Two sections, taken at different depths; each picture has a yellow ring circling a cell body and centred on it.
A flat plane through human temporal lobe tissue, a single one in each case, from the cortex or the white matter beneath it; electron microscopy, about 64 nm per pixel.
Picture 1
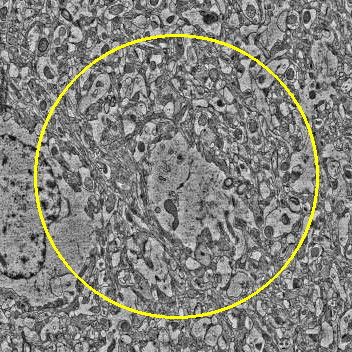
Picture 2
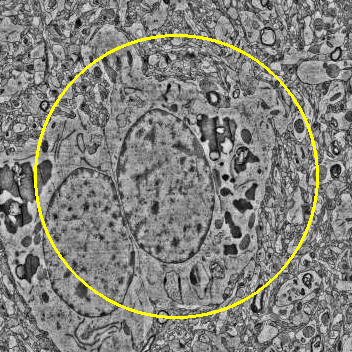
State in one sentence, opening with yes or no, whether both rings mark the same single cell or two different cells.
No, the rings mark two cells rather than a single cell.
